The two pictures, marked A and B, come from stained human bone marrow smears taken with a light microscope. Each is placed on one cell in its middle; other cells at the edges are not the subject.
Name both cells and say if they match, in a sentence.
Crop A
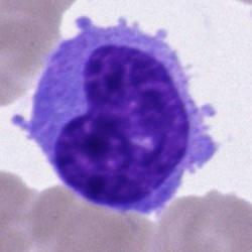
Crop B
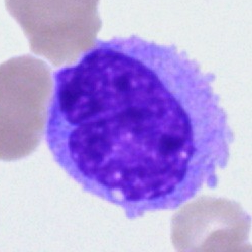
Yes, both crops are centred on cells that are monocytes.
